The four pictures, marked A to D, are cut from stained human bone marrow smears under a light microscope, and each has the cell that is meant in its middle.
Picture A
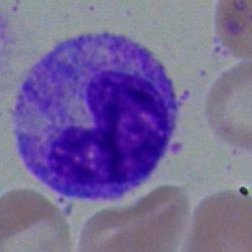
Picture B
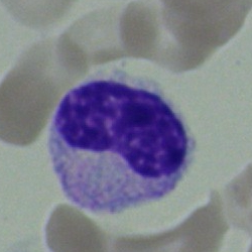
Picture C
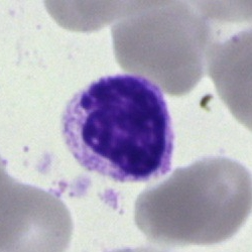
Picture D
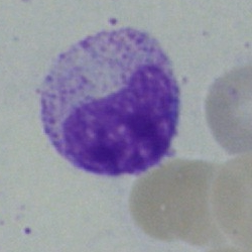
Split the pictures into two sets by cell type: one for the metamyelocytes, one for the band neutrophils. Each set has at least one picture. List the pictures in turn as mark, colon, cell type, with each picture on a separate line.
A: metamyelocyte
B: metamyelocyte
C: band neutrophil
D: metamyelocyte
